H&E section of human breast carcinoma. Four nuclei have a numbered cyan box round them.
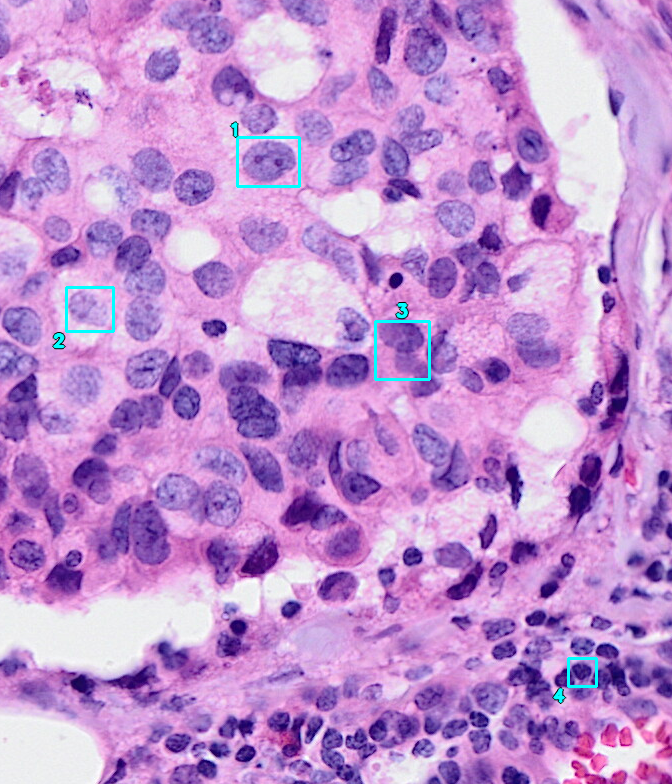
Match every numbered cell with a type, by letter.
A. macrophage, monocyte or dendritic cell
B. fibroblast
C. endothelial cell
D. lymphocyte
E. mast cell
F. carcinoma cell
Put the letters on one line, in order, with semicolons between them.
F; F; F; D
